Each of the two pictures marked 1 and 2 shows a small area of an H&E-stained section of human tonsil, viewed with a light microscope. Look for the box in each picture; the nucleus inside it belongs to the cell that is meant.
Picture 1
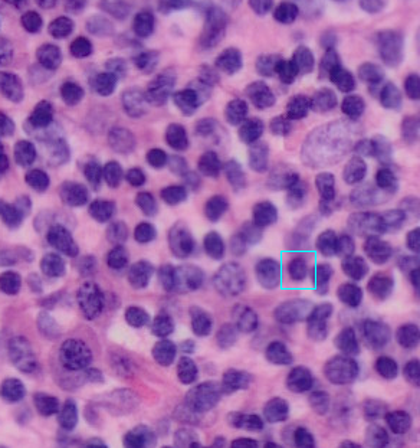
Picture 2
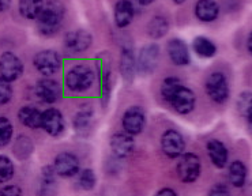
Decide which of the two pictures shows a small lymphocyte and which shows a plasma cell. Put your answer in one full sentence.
In picture 1 the cell is a small lymphocyte; in picture 2, a plasma cell.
